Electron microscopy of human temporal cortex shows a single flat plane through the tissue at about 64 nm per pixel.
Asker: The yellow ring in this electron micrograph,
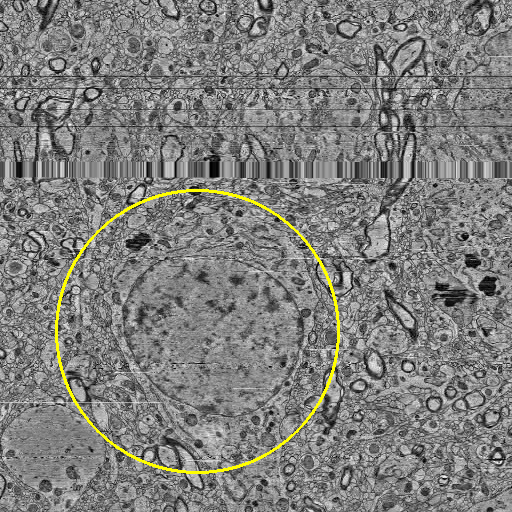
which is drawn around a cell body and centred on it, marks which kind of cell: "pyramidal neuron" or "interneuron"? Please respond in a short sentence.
The marked cell is an interneuron.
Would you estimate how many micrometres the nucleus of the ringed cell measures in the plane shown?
The nucleus comes to roughly 11 micrometres across in this plane.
